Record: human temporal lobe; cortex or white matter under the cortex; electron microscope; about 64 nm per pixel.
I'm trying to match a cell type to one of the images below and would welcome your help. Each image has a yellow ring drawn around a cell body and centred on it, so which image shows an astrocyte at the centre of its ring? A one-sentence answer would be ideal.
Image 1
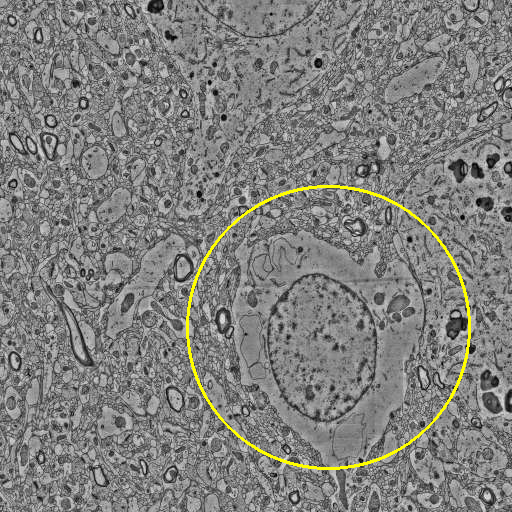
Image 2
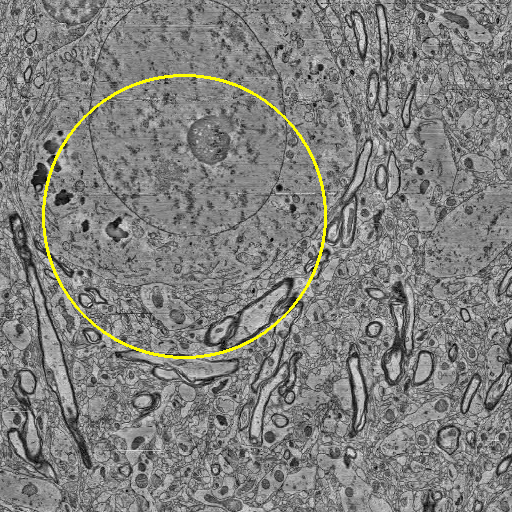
Image 1 shows it at the centre of the ring.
